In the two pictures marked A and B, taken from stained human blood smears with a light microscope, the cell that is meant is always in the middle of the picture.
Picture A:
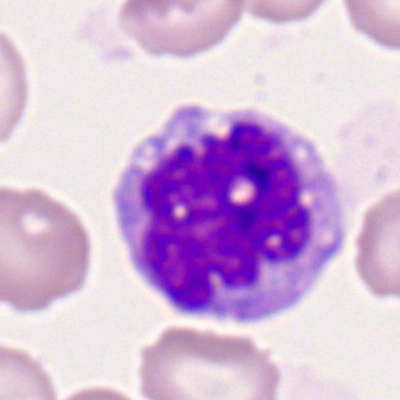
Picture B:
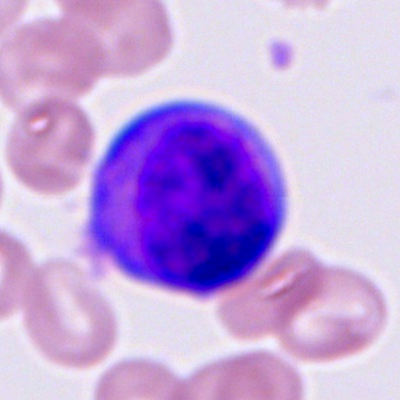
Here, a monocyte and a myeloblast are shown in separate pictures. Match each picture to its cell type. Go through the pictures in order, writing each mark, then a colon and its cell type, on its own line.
A: monocyte
B: myeloblast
